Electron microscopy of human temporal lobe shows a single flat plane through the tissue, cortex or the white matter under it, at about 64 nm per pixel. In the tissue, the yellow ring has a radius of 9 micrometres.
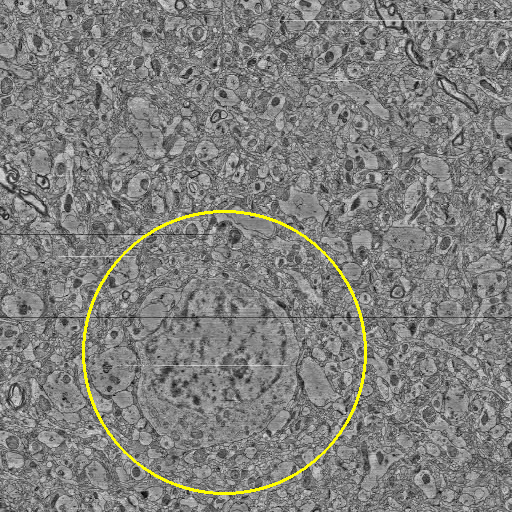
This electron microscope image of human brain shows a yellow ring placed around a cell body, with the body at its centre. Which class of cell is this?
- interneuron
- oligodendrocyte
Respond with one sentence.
The cell body at the ring's centre is an interneuron.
